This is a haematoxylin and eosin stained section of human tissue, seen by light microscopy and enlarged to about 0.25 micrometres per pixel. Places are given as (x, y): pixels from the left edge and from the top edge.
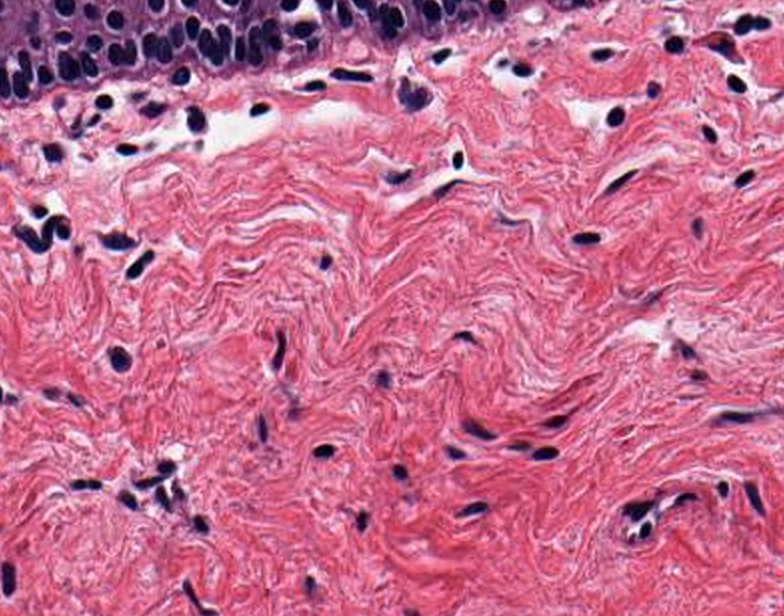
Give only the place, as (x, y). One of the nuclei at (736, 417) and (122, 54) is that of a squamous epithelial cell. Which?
(122, 54)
